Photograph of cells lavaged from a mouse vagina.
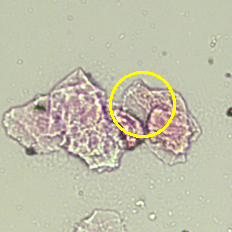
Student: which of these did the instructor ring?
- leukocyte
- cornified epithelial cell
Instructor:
The cell I ringed is a cornified epithelial cell.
